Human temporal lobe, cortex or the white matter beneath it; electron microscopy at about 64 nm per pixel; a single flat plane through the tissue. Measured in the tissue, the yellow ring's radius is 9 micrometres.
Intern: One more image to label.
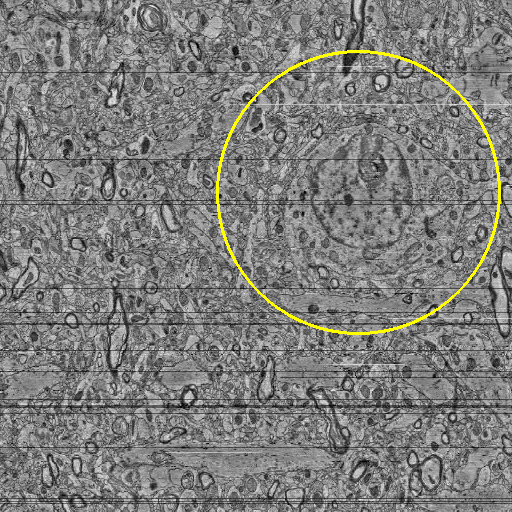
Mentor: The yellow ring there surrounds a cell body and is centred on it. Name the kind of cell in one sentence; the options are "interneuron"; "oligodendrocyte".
The ring marks the cell body of an interneuron.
